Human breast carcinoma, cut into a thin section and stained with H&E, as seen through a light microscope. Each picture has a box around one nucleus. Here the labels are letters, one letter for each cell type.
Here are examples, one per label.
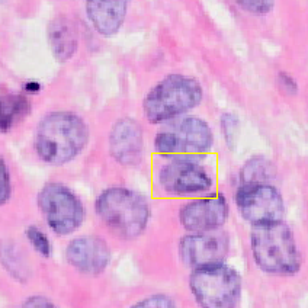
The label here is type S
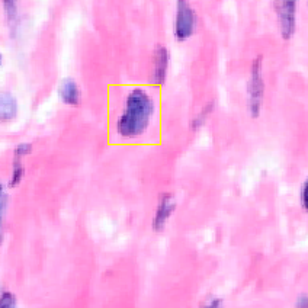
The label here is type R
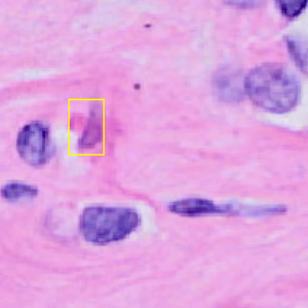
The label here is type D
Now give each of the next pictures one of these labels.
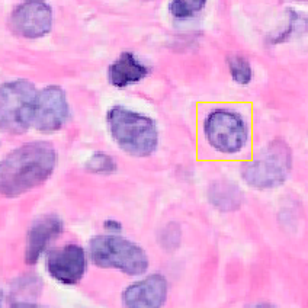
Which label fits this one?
type S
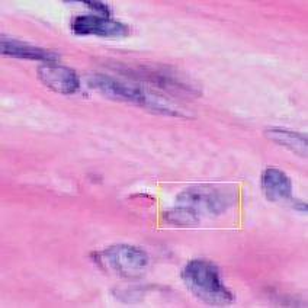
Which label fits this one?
type D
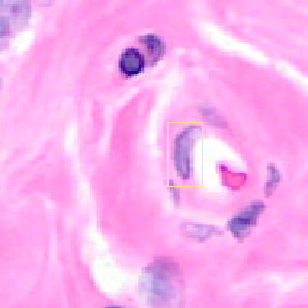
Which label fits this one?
type D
